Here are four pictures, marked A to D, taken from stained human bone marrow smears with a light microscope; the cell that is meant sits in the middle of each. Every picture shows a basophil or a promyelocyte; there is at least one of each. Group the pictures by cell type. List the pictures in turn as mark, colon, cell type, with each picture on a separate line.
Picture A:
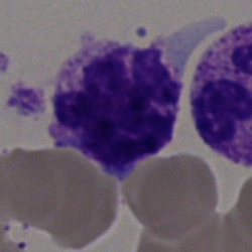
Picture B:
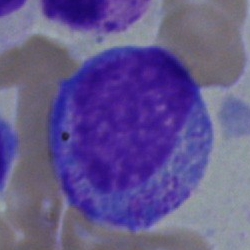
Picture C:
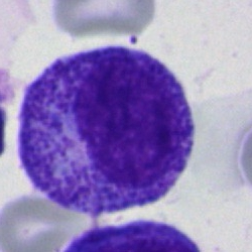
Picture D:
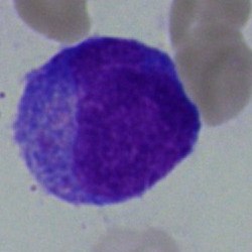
A: basophil
B: promyelocyte
C: promyelocyte
D: promyelocyte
